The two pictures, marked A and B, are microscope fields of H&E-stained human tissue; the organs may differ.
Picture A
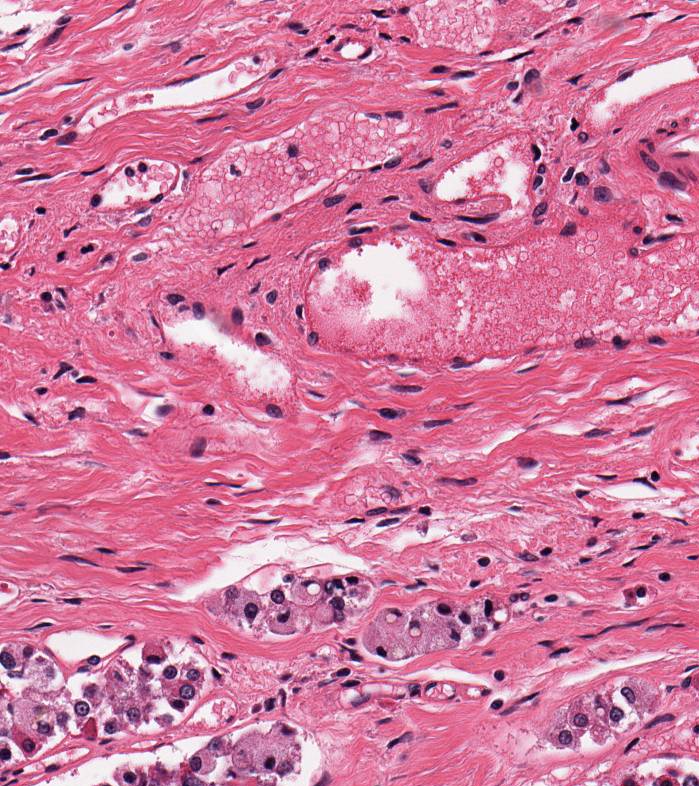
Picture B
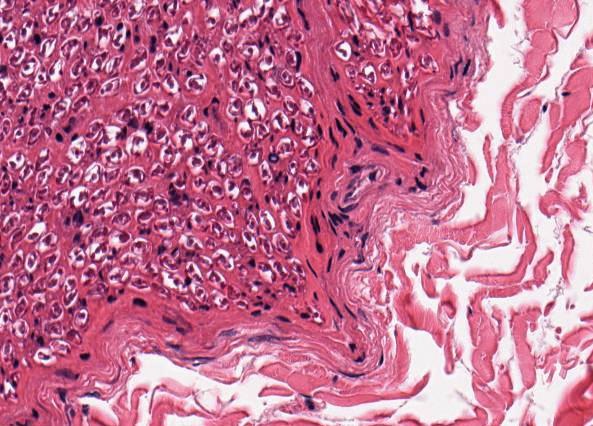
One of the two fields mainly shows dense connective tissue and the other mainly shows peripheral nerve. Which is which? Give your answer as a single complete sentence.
Picture A mainly shows dense connective tissue and picture B mainly shows peripheral nerve.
